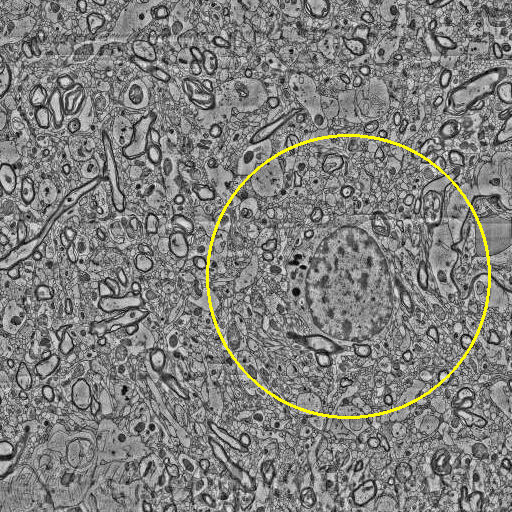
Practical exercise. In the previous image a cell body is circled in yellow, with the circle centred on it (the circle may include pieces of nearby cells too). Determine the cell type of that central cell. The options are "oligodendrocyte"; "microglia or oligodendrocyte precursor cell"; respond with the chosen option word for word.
oligodendrocyte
